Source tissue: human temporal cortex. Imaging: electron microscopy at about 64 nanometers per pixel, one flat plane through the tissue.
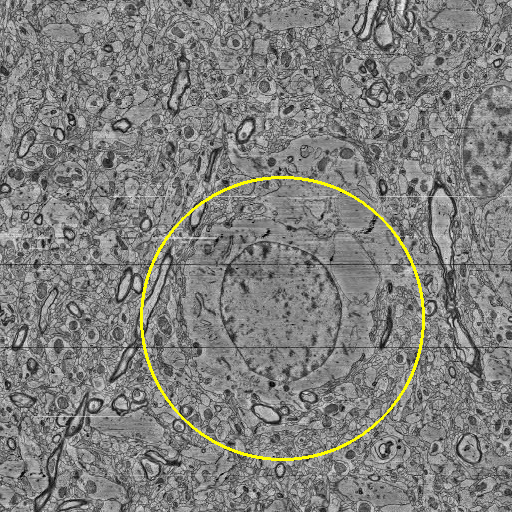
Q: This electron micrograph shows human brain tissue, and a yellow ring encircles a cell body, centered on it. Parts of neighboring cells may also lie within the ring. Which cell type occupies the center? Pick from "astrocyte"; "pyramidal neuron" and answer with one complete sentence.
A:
What sits at the ring's center in this micrograph is an astrocyte, among those choices.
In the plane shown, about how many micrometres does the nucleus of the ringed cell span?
The nucleus has a long axis of about 10 micrometres and a short axis of about 8 micrometres in this plane.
